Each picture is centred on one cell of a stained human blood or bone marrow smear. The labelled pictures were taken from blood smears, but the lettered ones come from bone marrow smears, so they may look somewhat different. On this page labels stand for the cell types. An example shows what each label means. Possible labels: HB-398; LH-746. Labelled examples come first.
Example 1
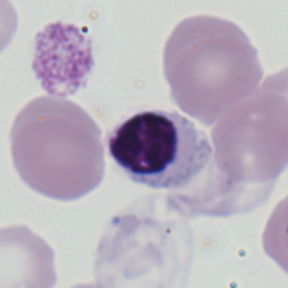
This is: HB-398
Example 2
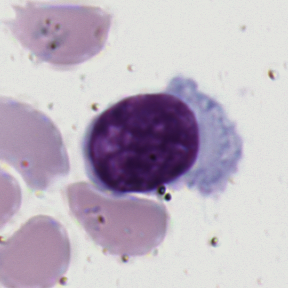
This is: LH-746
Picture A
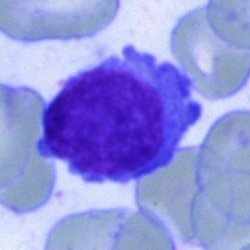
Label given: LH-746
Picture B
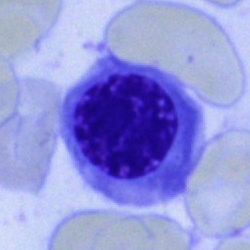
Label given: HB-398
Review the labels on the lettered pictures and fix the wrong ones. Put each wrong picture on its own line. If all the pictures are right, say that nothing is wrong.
None of the labels needs changing.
